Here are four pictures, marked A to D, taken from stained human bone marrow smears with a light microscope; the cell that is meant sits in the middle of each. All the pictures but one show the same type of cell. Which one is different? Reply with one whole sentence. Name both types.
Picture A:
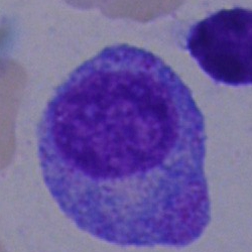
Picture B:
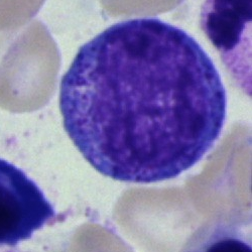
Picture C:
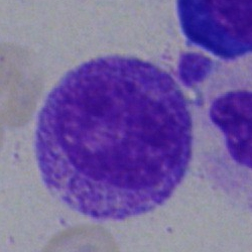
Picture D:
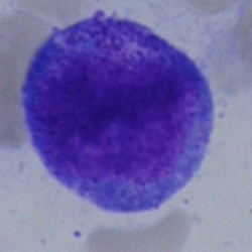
The others show promyelocytes, but picture C shows a myelocyte.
